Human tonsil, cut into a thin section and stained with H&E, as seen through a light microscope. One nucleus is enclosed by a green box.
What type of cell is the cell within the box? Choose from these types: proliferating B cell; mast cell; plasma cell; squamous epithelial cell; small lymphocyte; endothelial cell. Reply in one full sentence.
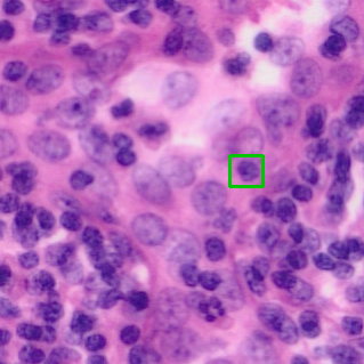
In the tissue under study, the cell within the box is an endothelial cell.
